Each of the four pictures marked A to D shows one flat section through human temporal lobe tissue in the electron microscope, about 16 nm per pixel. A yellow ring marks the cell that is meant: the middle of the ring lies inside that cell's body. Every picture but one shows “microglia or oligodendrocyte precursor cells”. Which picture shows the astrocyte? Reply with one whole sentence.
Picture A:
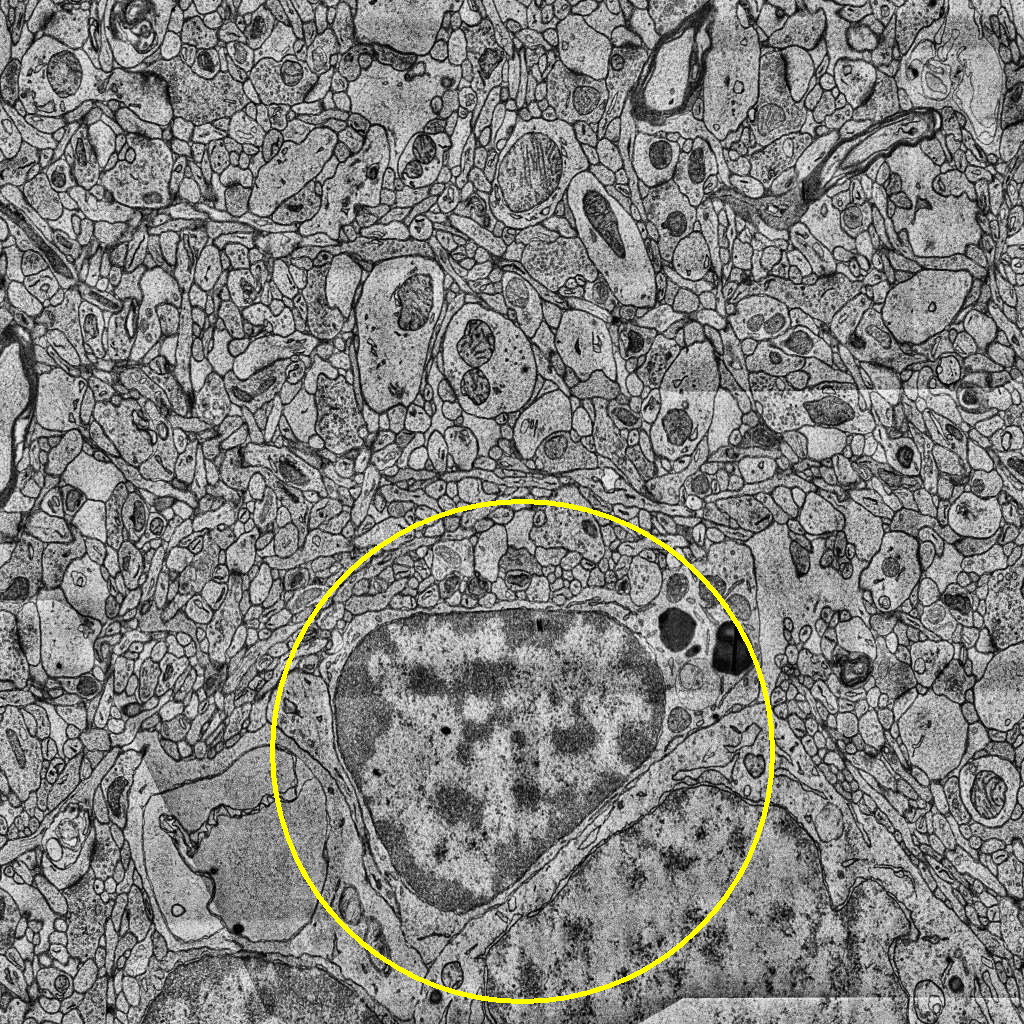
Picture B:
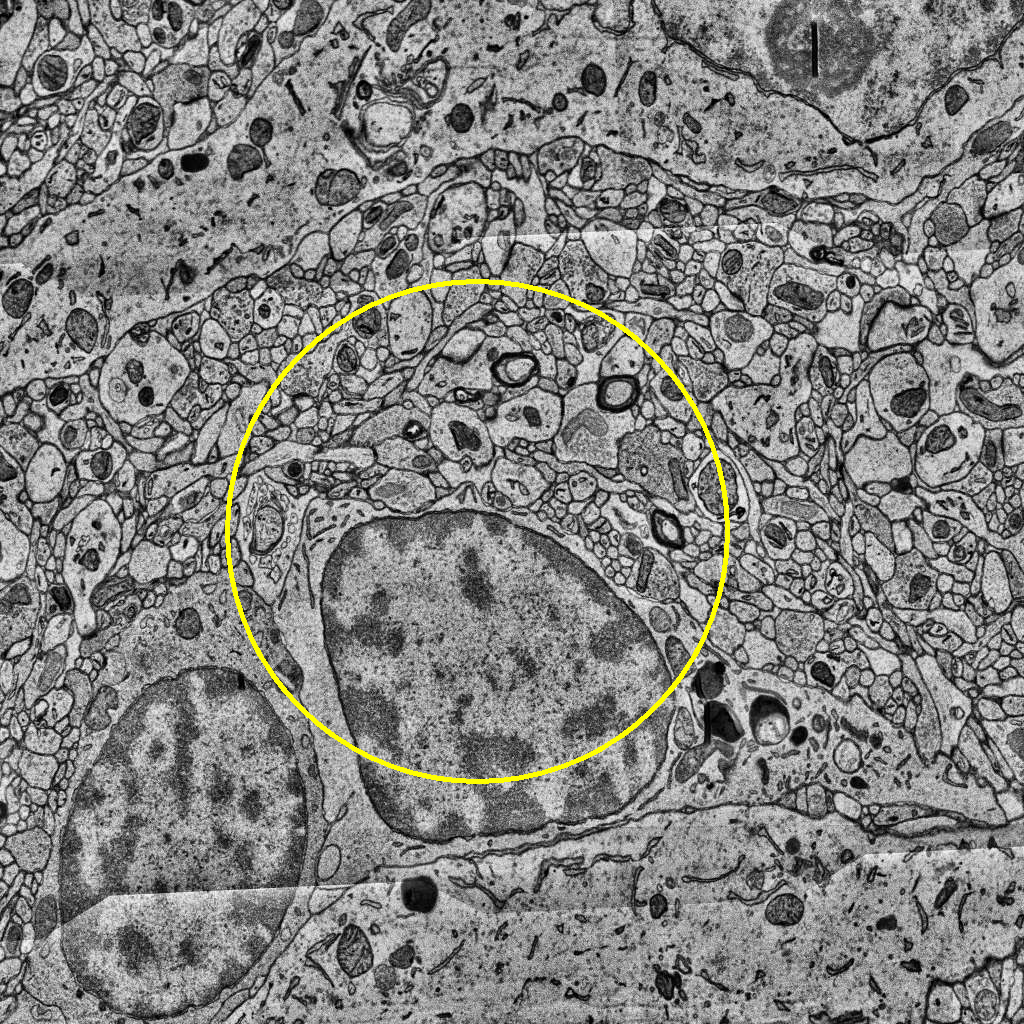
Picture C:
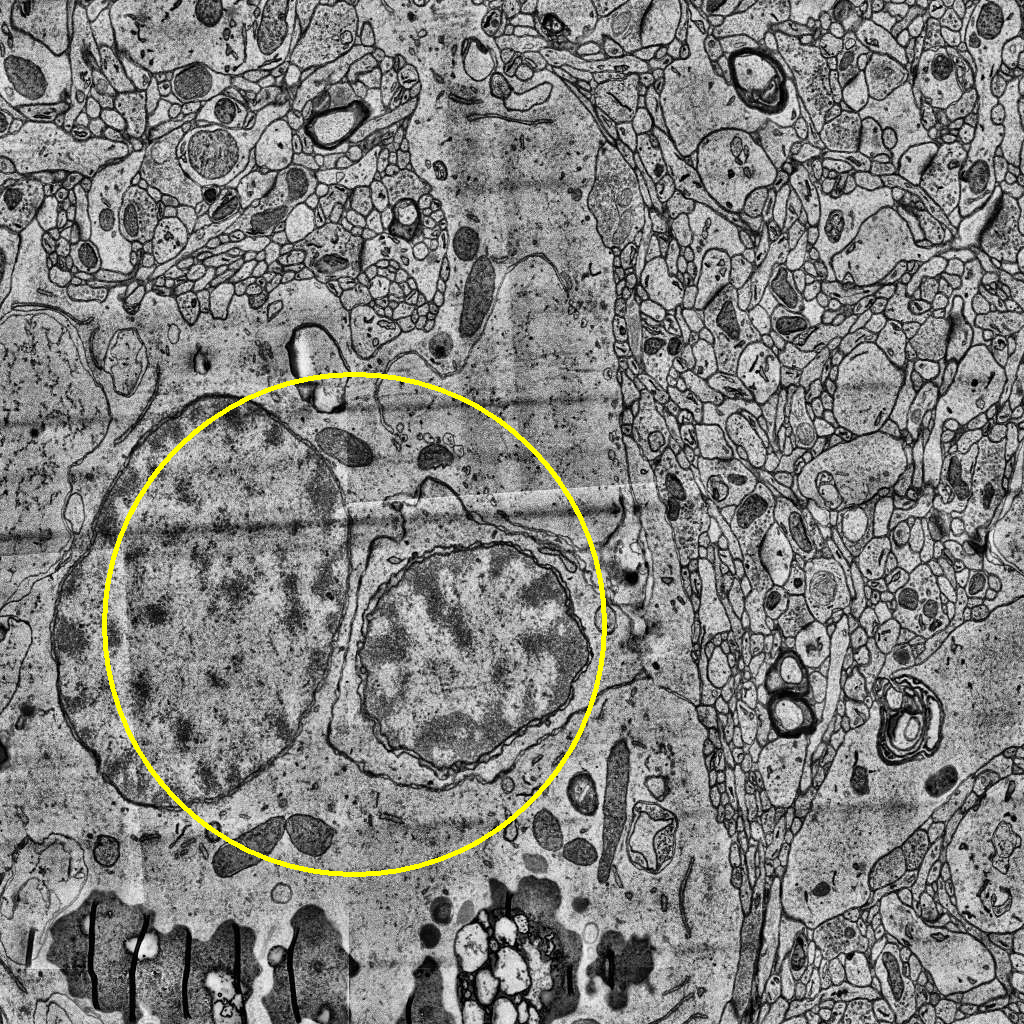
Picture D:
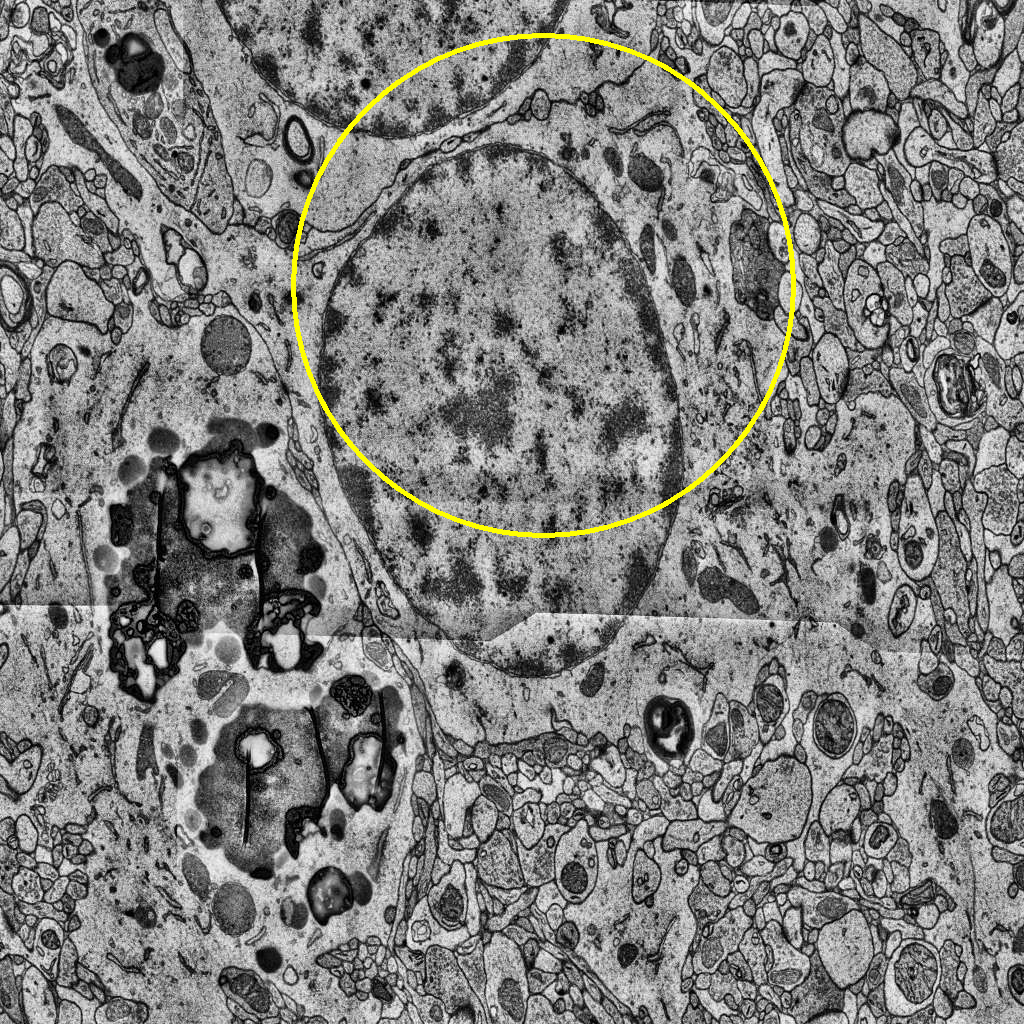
The cell in picture D is the astrocyte.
